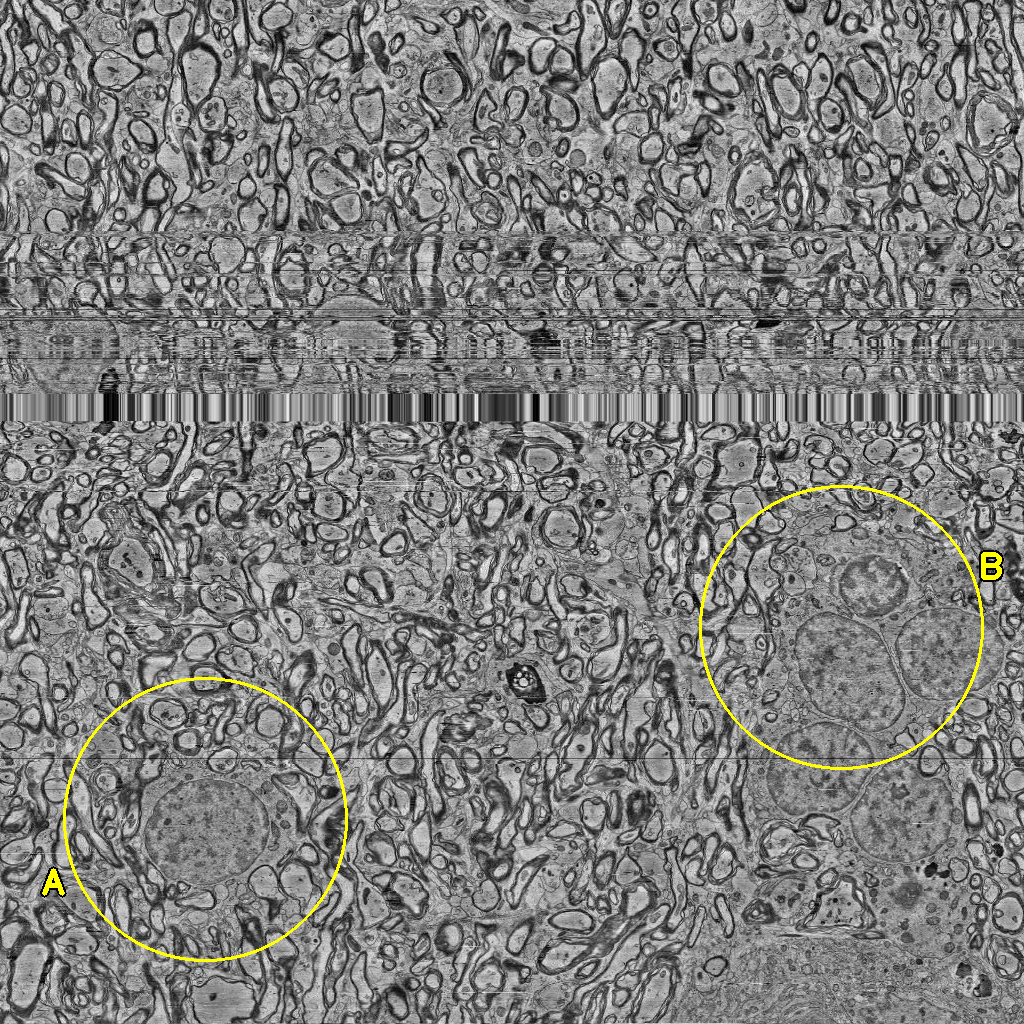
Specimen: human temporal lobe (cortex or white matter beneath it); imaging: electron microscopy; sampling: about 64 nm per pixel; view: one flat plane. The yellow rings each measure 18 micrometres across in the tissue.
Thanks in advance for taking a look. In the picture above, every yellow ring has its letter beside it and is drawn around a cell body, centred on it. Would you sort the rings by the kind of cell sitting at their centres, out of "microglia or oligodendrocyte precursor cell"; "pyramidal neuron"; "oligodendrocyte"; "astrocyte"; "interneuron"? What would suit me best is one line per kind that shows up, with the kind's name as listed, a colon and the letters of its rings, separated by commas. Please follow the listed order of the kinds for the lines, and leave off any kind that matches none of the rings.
oligodendrocyte: A, B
